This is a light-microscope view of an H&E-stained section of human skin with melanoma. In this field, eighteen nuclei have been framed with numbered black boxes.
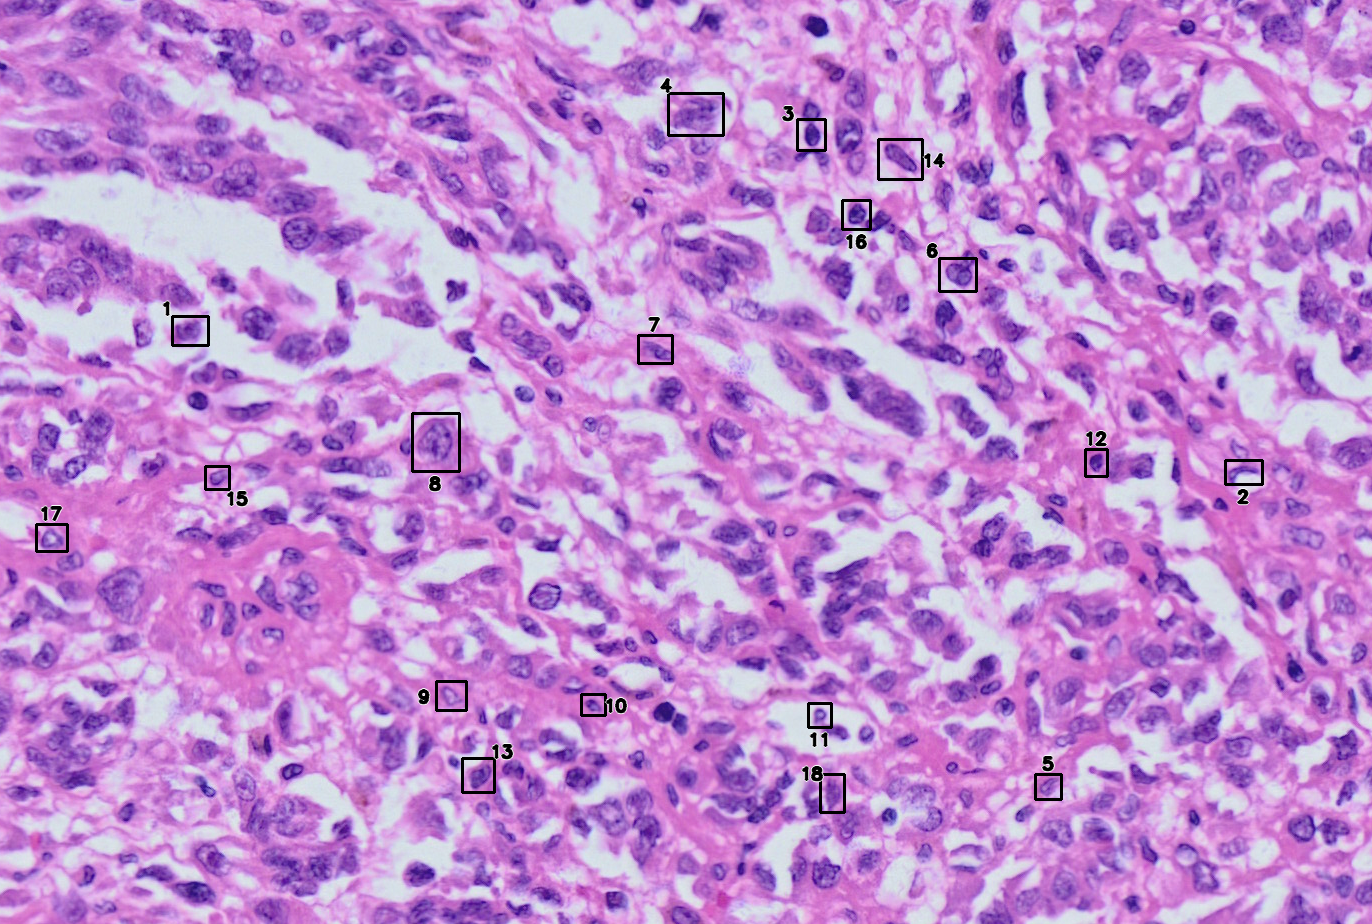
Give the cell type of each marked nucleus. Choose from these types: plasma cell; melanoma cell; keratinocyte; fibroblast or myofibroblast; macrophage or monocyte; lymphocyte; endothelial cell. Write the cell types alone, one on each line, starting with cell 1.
melanoma cell
endothelial cell
lymphocyte
melanoma cell
macrophage or monocyte
macrophage or monocyte
macrophage or monocyte
melanoma cell
macrophage or monocyte
lymphocyte
lymphocyte
lymphocyte
macrophage or monocyte
macrophage or monocyte
macrophage or monocyte
lymphocyte
endothelial cell
melanoma cell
